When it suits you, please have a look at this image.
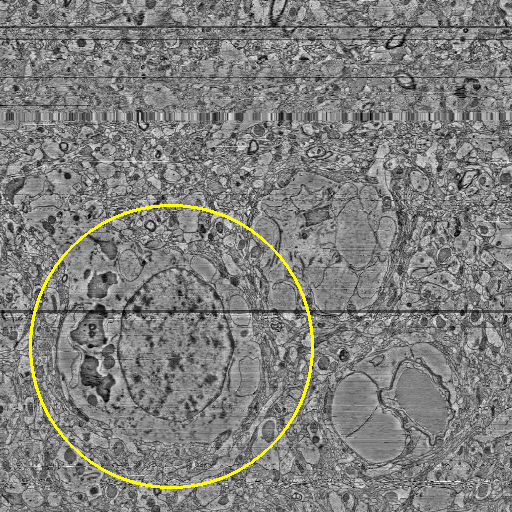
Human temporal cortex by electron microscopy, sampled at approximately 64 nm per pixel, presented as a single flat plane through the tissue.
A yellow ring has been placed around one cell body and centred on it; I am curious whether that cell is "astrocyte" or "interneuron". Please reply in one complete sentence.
The ringed cell, an astrocyte, has its body at the centre of the yellow ring.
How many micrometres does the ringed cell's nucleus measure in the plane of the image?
In this plane, roughly 10 by 7 micrometres.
